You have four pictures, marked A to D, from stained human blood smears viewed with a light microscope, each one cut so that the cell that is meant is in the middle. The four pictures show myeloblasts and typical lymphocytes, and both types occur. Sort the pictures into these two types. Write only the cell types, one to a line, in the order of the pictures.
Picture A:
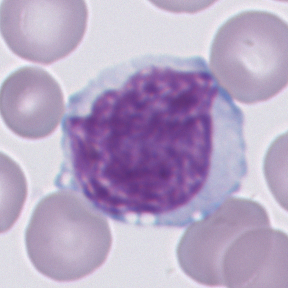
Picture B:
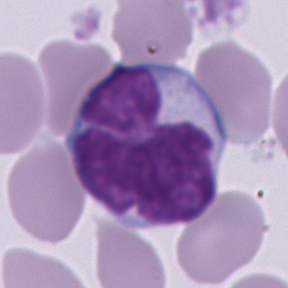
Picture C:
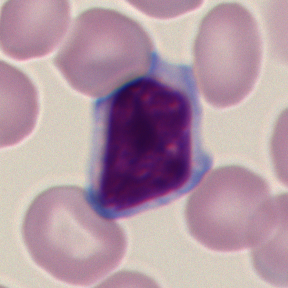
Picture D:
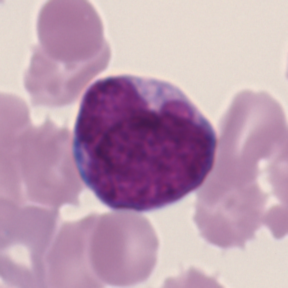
myeloblast
typical lymphocyte
typical lymphocyte
myeloblast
